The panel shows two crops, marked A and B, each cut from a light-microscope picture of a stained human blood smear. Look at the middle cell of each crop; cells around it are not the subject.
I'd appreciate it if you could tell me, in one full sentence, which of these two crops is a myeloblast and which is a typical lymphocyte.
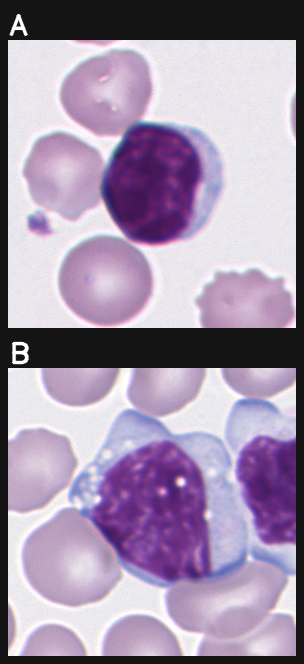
Crop A depicts a typical lymphocyte, and crop B depicts a myeloblast.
